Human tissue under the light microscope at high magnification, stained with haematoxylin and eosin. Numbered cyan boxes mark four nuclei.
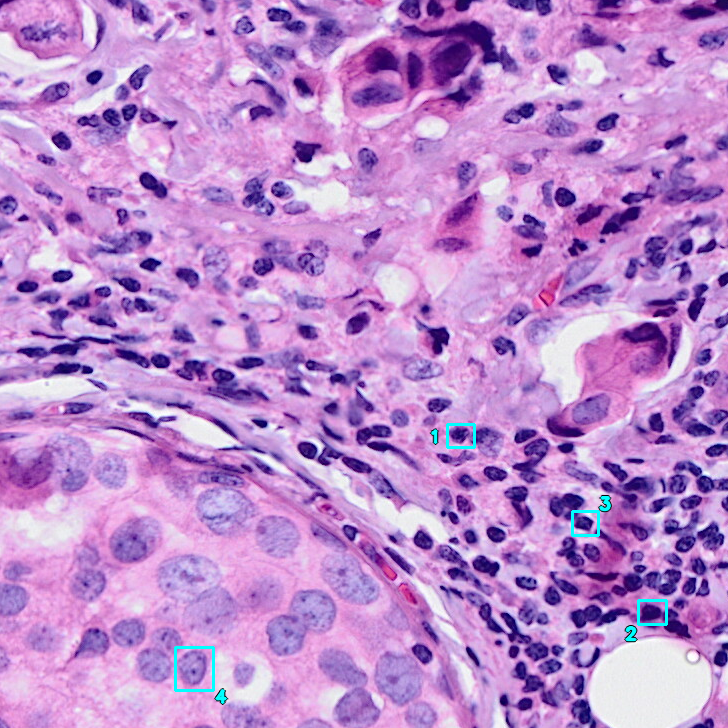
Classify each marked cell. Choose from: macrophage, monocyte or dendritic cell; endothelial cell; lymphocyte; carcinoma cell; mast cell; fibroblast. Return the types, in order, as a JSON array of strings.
["lymphocyte", "lymphocyte", "lymphocyte", "carcinoma cell"]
